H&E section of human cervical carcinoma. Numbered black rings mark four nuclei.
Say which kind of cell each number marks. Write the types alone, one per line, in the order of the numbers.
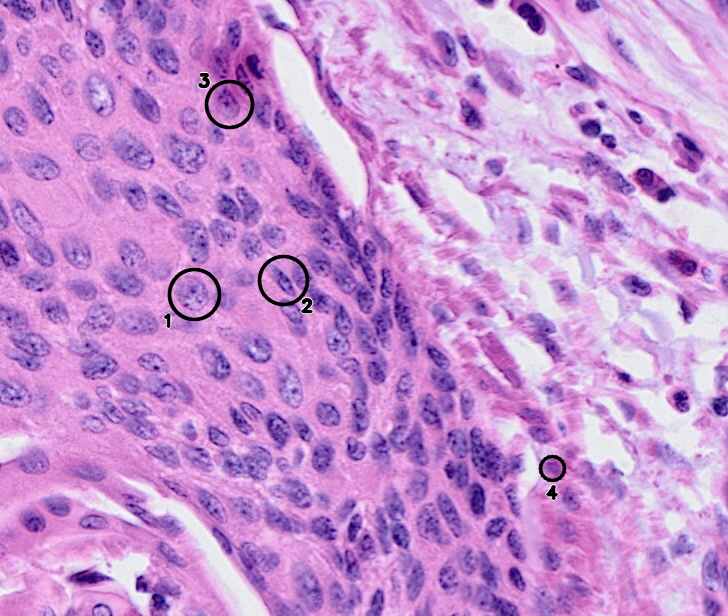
squamous carcinoma cell
squamous carcinoma cell
squamous carcinoma cell
fibroblast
